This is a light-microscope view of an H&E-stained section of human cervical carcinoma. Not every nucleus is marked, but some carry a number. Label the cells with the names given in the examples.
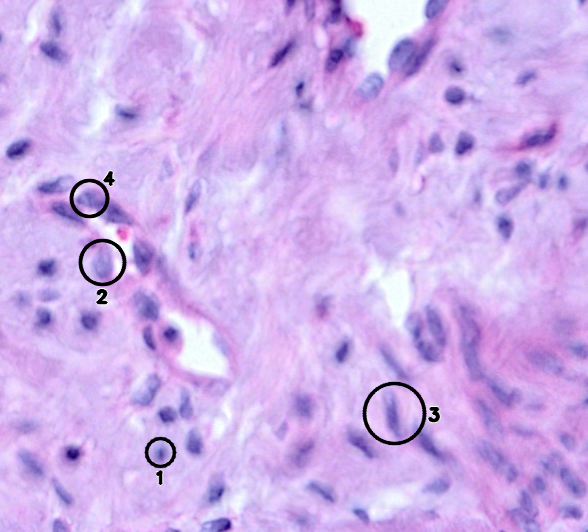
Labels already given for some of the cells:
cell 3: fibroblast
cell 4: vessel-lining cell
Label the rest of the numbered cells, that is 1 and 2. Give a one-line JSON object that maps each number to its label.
{"1": "fibroblast", "2": "vessel-lining cell"}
